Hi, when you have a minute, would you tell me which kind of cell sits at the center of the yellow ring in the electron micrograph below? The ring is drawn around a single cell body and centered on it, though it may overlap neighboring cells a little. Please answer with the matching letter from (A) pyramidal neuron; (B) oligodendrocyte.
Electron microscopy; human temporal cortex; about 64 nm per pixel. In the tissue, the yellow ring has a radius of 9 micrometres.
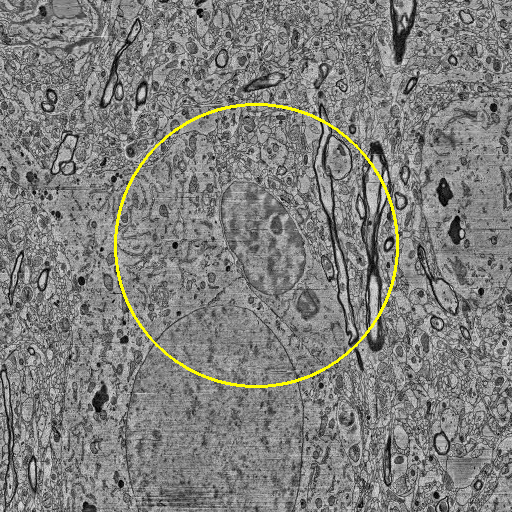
B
